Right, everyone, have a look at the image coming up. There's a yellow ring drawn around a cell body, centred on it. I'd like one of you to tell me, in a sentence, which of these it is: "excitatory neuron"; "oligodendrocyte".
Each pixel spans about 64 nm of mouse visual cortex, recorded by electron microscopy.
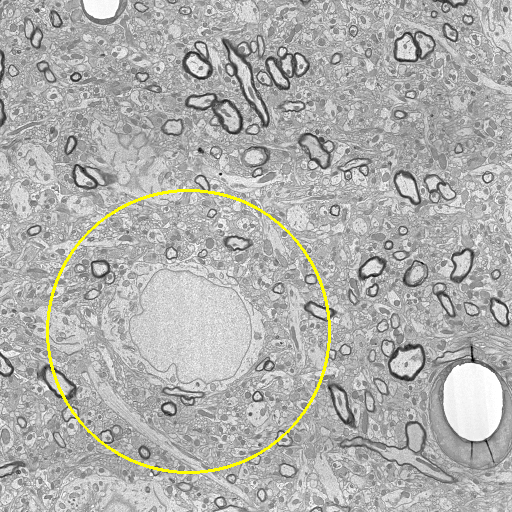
The yellow ring sits on an excitatory neuron.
